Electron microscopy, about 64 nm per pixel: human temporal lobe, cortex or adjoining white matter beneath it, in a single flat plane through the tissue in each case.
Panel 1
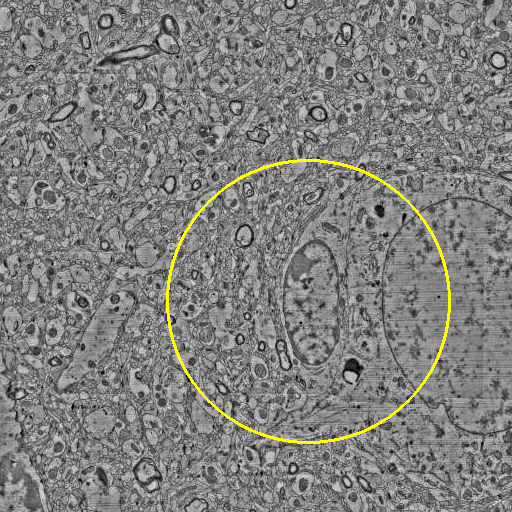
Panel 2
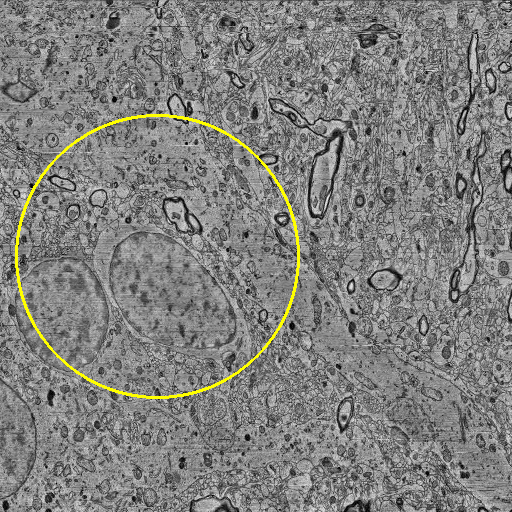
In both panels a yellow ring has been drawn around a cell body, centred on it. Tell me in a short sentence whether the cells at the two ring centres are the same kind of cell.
Yes, they are the same kind of cell.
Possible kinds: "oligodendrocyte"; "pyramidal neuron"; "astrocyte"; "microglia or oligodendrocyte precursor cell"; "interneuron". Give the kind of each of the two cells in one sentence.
In the first picture and in the second, the ring is centred on a microglial cell or oligodendrocyte precursor cell.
